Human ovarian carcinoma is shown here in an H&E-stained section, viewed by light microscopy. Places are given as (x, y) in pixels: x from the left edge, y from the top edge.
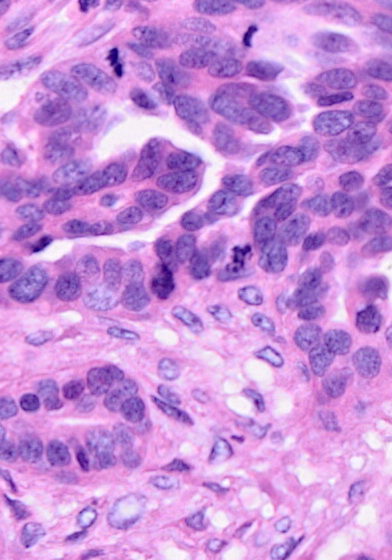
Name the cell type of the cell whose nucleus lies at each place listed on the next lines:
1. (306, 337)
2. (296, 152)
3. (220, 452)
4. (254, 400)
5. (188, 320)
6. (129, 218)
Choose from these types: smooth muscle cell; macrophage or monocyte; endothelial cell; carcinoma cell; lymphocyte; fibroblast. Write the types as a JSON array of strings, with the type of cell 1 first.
["carcinoma cell", "carcinoma cell", "fibroblast", "fibroblast", "fibroblast", "carcinoma cell"]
